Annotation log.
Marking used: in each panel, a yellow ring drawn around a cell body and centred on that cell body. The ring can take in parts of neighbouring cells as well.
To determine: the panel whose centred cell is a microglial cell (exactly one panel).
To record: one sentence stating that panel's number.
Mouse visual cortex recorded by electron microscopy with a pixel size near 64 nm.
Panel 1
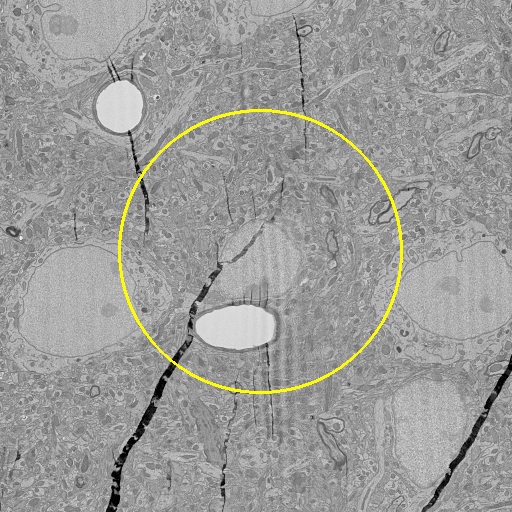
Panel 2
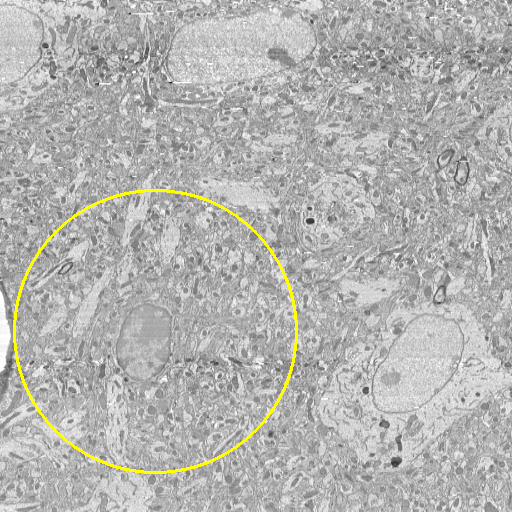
Panel 2 shows it at the centre of its ring.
